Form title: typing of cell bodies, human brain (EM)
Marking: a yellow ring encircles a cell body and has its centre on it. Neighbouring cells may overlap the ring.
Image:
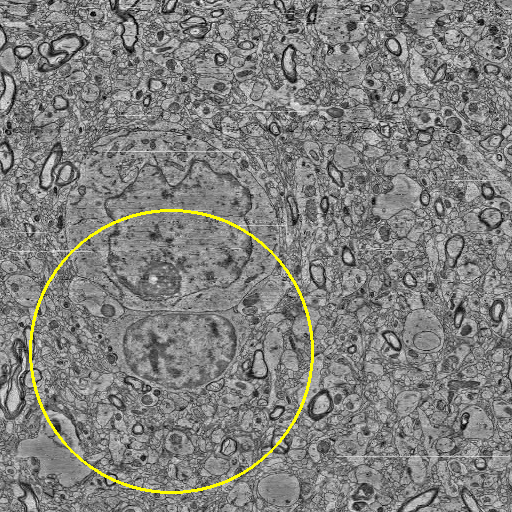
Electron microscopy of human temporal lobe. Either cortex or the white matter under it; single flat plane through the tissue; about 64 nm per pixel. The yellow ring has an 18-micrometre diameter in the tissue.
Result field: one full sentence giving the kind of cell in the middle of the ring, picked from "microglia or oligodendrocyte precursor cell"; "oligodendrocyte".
In the picture, the ring is centred on an oligodendrocyte, whose cell body it encircles.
